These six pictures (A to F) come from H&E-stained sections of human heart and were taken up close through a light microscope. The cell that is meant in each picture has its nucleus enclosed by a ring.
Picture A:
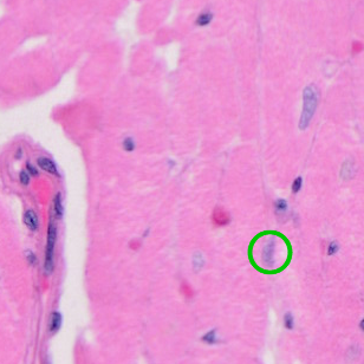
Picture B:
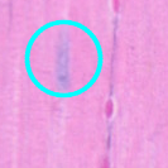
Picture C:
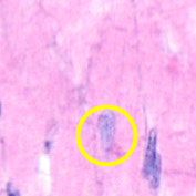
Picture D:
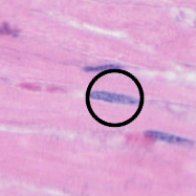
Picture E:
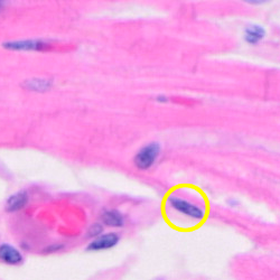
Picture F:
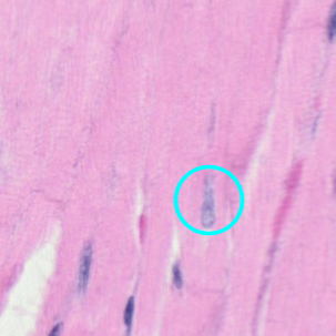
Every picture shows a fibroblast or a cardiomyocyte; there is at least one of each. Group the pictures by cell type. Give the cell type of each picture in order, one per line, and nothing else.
fibroblast
cardiomyocyte
cardiomyocyte
fibroblast
fibroblast
cardiomyocyte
